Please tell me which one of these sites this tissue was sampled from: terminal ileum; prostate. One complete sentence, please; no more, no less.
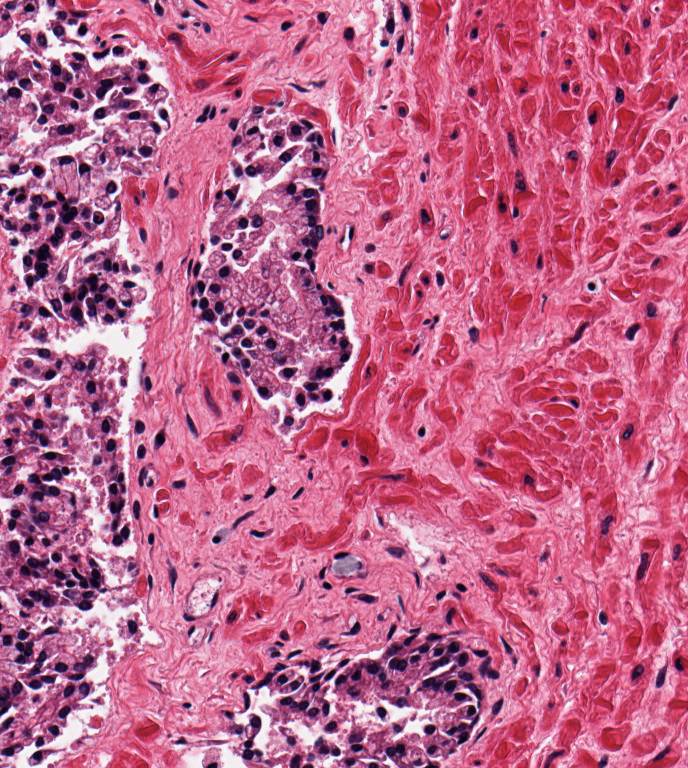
Tissue was sampled from the prostate for this slide.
